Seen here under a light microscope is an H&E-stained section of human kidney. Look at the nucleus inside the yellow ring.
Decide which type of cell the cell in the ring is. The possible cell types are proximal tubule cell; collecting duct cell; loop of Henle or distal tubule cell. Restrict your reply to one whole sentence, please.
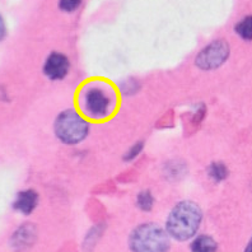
The identity of the cell in the ring: it is a loop of Henle or distal tubule cell.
